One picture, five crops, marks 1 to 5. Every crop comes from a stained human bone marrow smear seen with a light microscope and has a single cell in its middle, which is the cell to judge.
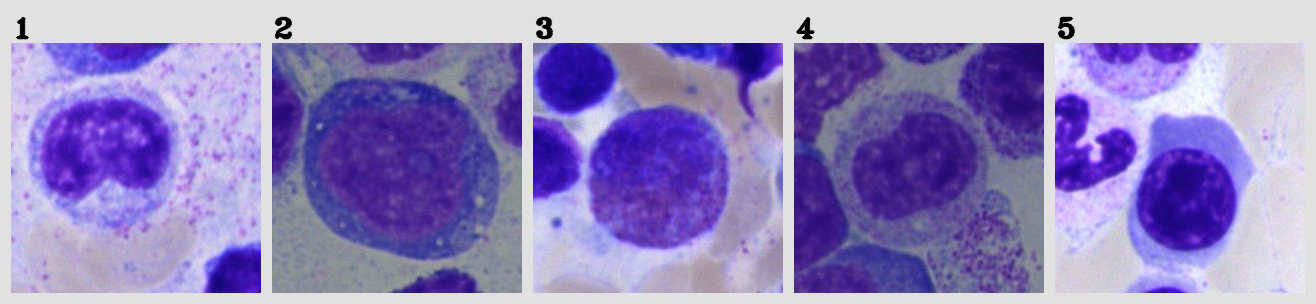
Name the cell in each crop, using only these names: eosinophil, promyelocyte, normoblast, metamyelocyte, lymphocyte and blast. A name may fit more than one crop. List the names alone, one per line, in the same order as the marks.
metamyelocyte
blast
eosinophil
metamyelocyte
normoblast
